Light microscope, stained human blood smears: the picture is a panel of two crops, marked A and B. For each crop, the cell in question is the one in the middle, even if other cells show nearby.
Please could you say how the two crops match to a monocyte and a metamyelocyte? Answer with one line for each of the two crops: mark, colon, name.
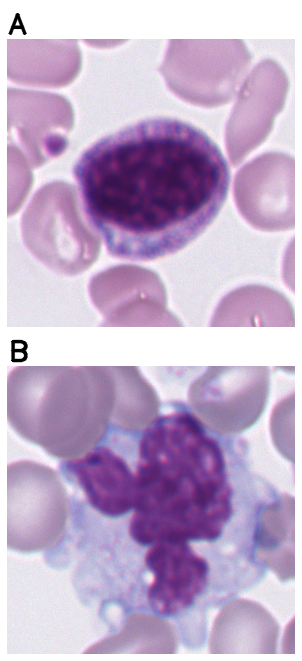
A: metamyelocyte
B: monocyte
